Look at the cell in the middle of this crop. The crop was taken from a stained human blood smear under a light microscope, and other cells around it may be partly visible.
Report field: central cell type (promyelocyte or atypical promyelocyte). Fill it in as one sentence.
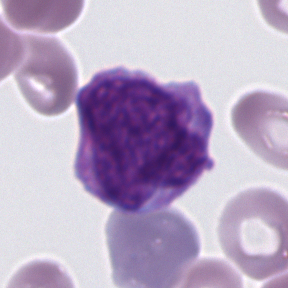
In the center of this field lies an atypical promyelocyte.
